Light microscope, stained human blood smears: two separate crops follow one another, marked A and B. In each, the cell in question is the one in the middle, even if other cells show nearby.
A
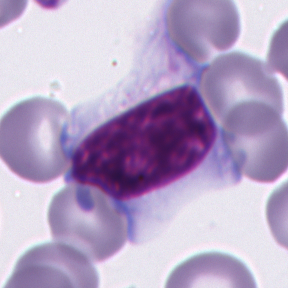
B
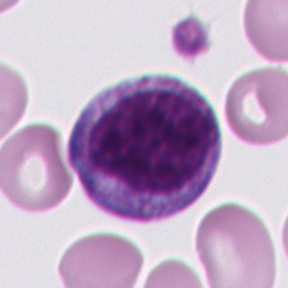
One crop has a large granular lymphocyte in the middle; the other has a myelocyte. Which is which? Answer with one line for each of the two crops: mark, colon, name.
A: large granular lymphocyte
B: myelocyte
